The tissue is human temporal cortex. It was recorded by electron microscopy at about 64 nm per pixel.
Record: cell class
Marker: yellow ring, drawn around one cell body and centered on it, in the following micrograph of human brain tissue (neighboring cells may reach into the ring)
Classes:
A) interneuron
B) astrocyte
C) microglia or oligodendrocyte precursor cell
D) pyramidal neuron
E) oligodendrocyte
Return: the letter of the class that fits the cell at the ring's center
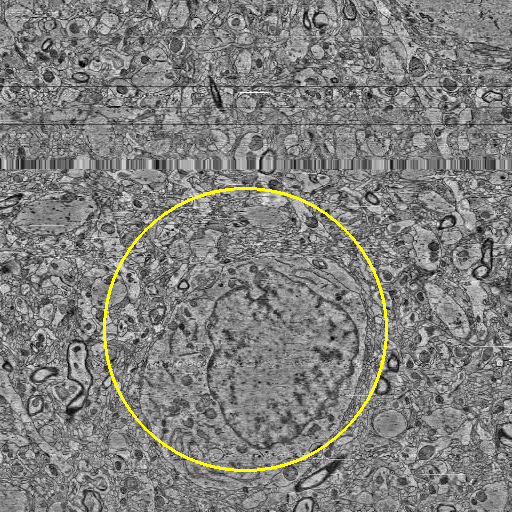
A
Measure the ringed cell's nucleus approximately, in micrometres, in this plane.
In this plane, the nucleus is roughly 12 by 10 micrometres.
